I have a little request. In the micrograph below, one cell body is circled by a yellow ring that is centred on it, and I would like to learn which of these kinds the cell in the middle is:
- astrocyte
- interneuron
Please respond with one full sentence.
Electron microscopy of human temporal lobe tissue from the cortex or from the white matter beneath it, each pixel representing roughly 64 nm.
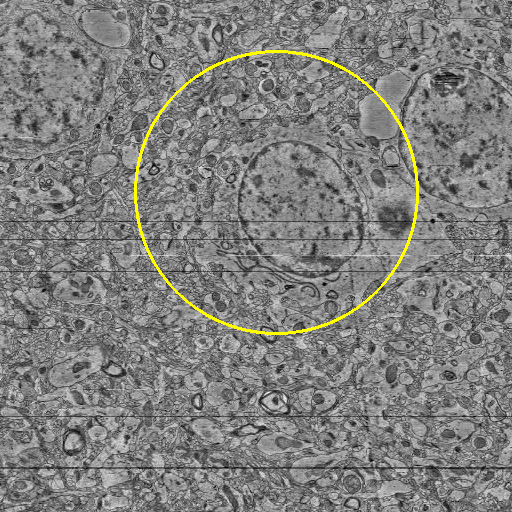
The cell sitting in the middle of the yellow ring in the micrograph is an astrocyte.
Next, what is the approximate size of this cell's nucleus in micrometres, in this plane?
Approximately 9 x 8 micrometres in this plane.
